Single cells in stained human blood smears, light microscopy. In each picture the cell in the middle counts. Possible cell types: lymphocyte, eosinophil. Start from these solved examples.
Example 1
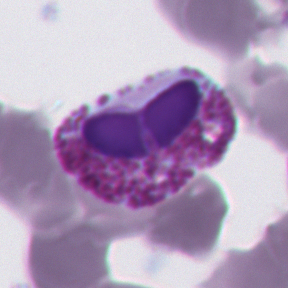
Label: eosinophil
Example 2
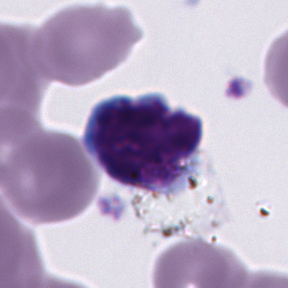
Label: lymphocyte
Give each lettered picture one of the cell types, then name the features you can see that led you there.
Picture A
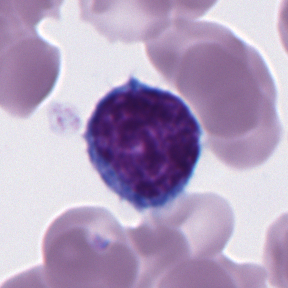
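lymphocyte: The cytoplasm is a deep blue.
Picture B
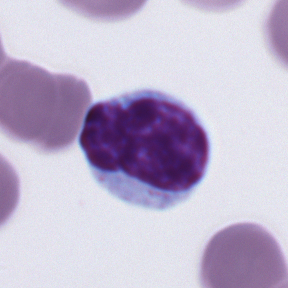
lymphocyte: A few fine reddish granules are scattered in the lower cytoplasm.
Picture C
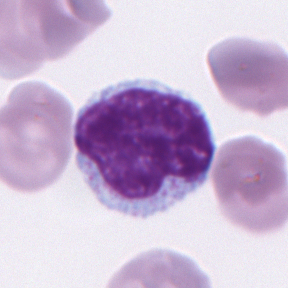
lymphocyte: Fine, dust-like pinkish-violet granules are scattered through the cytoplasm.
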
